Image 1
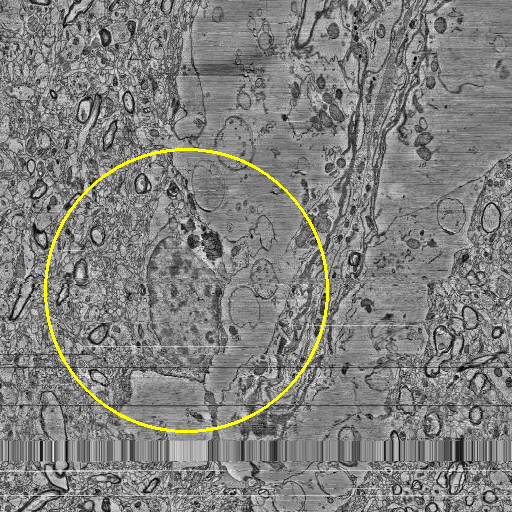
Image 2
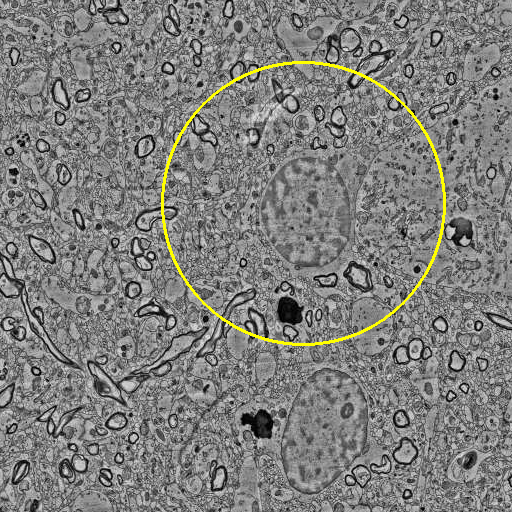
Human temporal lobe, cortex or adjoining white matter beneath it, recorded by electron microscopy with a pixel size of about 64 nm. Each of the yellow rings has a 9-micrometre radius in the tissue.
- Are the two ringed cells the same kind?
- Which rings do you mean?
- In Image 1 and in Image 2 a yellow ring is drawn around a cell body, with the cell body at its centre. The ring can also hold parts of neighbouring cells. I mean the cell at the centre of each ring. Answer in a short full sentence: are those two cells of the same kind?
Yes, both cells are of the same kind.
